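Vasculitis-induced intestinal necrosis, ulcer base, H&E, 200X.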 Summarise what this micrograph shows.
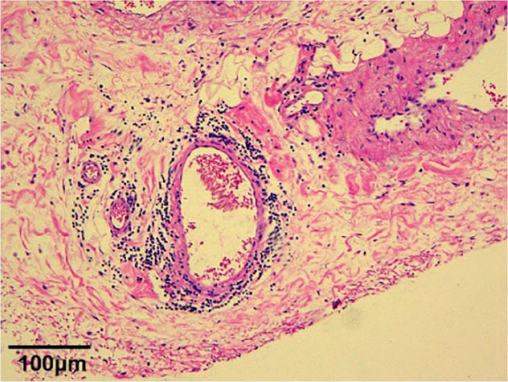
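A small blood vessel lies in loose, wavy pink connective tissue, its lumen containing red blood cells. A smaller vessel with a similar but thinner cuff of nuclei lies just beside it.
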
